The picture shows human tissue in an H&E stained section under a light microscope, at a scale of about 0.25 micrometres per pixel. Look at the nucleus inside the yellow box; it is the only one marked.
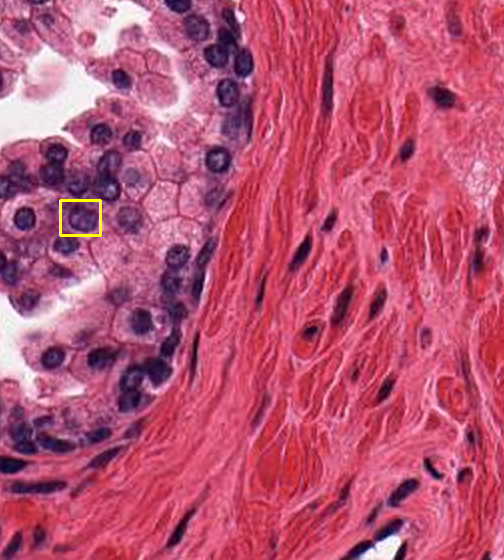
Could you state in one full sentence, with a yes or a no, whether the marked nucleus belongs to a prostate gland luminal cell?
Yes, in this image it is a prostate gland luminal cell that contains the marked nucleus.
